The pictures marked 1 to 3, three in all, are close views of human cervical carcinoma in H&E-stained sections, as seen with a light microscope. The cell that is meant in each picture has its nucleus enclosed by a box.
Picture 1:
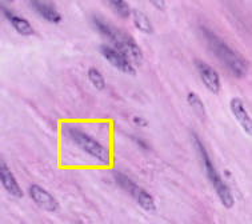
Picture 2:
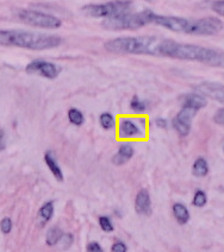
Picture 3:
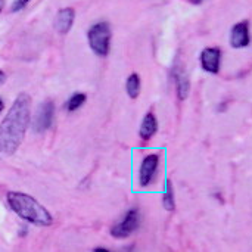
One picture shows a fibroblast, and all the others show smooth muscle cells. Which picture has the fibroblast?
3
